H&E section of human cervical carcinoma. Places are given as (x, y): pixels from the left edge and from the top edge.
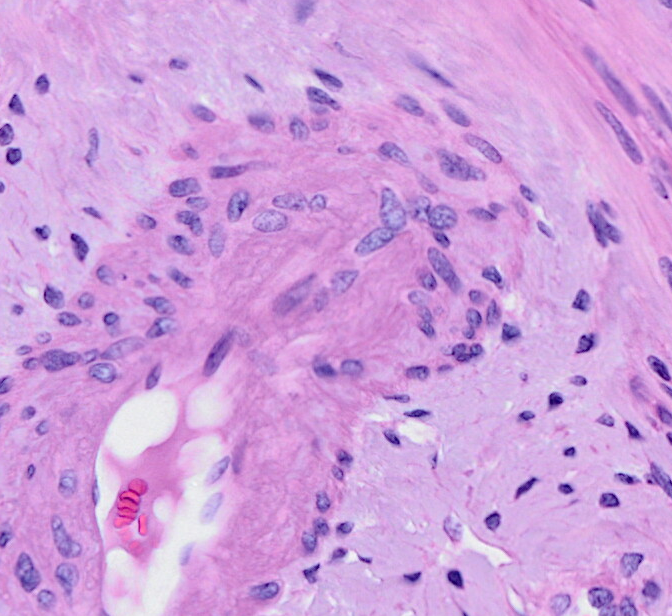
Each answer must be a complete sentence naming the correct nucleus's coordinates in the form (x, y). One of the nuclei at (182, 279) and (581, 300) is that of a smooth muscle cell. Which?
Of the two nuclei, the one sitting at (182, 279) belongs to a smooth muscle cell.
